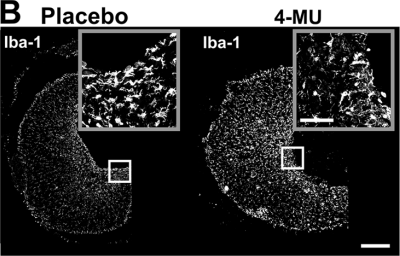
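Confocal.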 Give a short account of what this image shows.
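At low magnification they appear as many small dots spread fairly evenly across the whole section. In the magnified insets each cell has a small bright body with several short, branching processes, and the cells lie close together near the damaged edge of the tissue.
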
